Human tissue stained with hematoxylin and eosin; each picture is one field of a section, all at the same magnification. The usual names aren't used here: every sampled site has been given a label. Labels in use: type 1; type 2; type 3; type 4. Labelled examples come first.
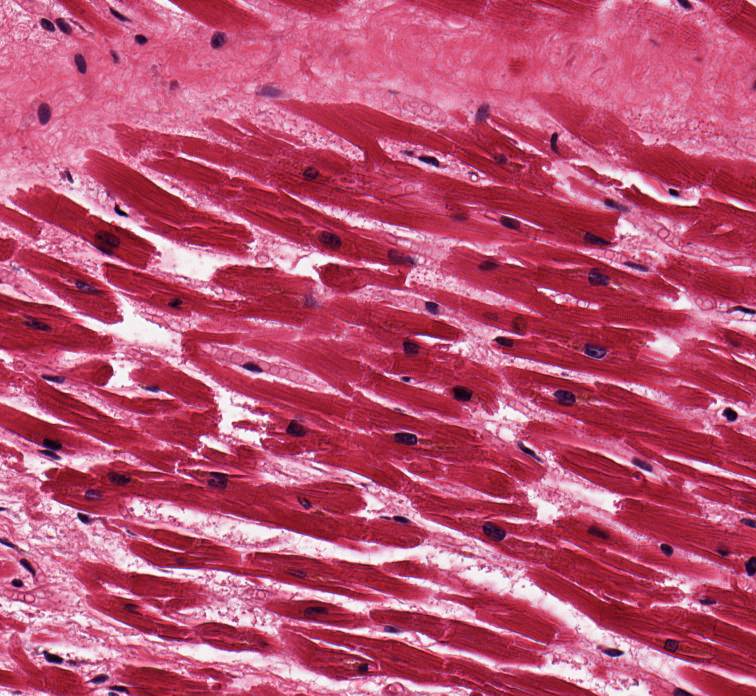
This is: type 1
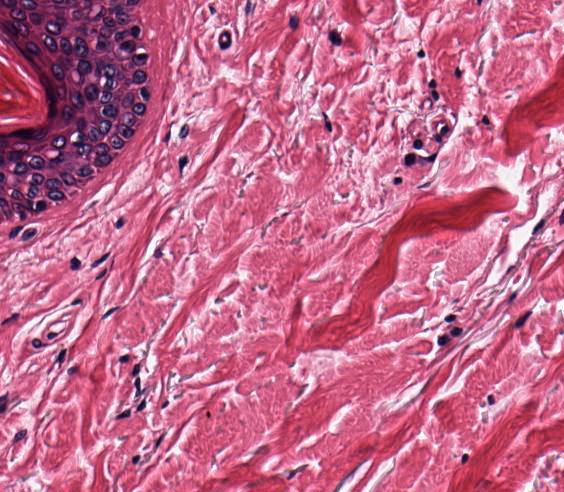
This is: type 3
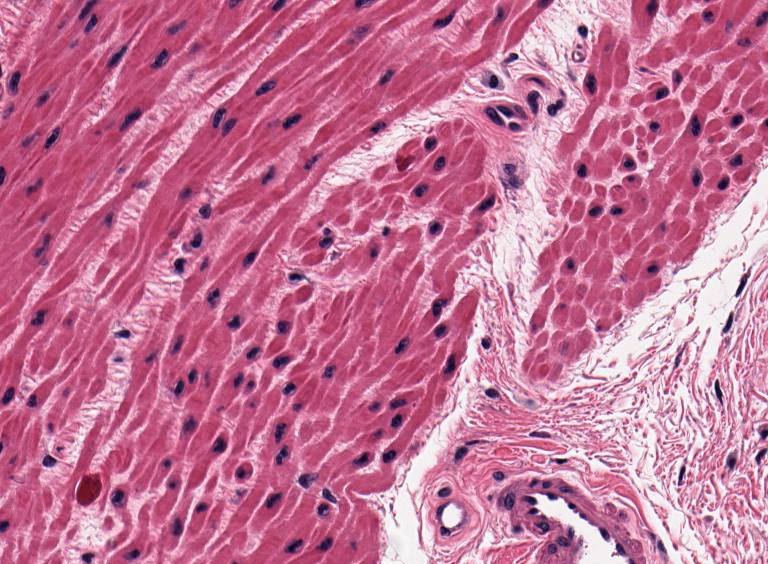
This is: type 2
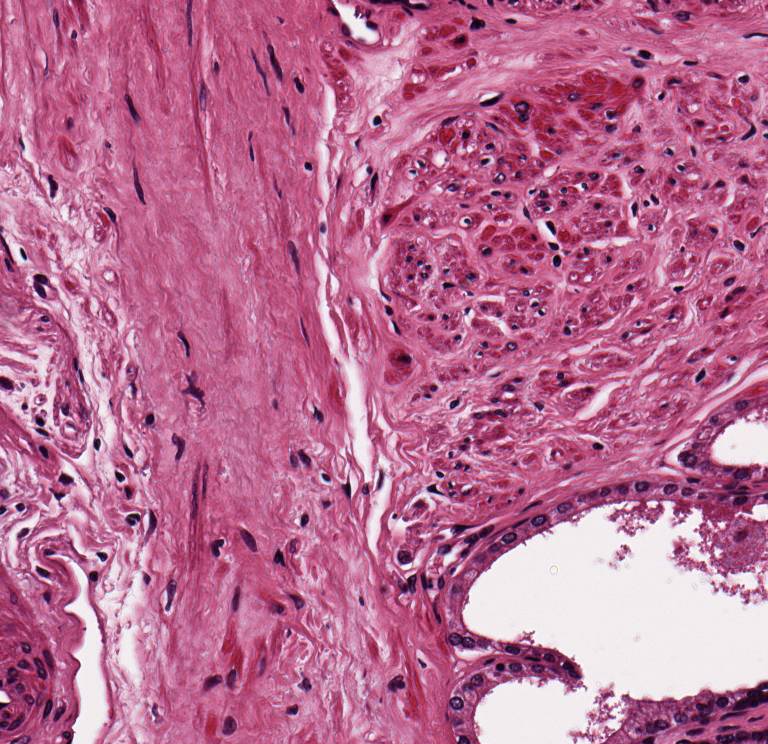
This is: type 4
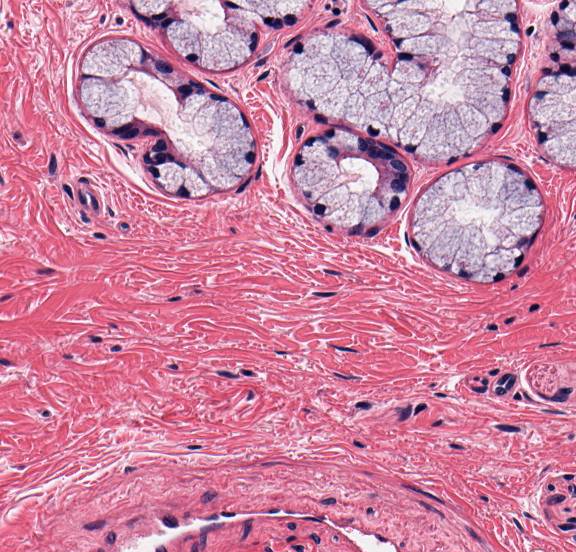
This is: type 2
